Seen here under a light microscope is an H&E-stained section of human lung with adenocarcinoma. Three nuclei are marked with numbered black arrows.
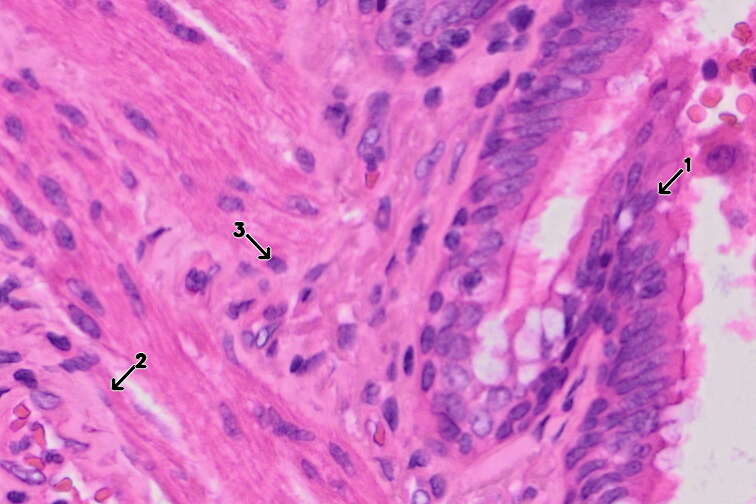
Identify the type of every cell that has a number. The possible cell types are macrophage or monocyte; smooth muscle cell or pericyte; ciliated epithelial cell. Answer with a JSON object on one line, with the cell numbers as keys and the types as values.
{"1": "ciliated epithelial cell", "2": "smooth muscle cell or pericyte", "3": "smooth muscle cell or pericyte"}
